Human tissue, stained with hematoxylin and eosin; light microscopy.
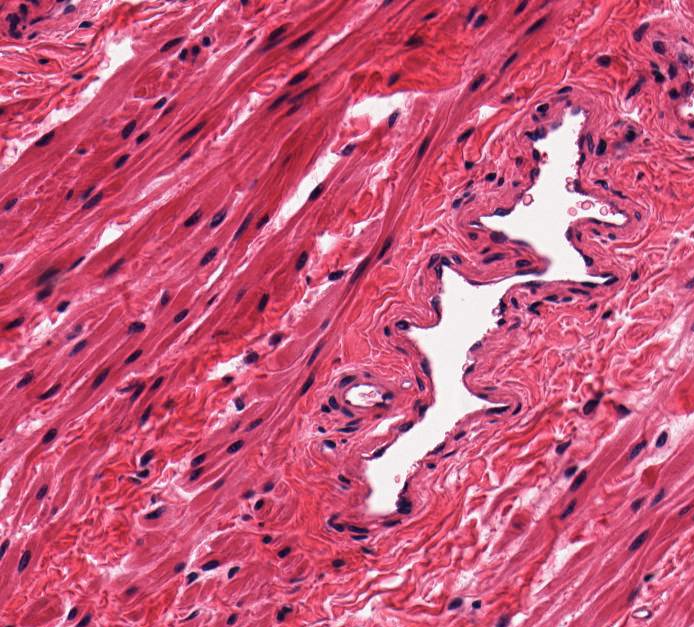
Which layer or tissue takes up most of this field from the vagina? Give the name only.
smooth muscle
